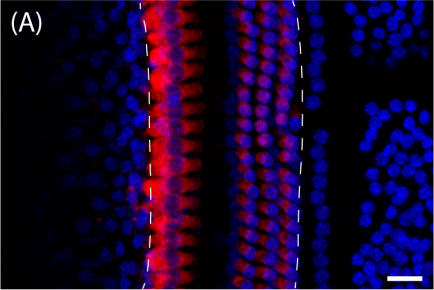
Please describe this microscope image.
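Within the dashed lines a single row of closely packed red hair cells runs along the left side, and three parallel rows of smaller, regularly spaced red hair cells run further to the right. The rows are continuous along the whole length shown, with no gaps.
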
